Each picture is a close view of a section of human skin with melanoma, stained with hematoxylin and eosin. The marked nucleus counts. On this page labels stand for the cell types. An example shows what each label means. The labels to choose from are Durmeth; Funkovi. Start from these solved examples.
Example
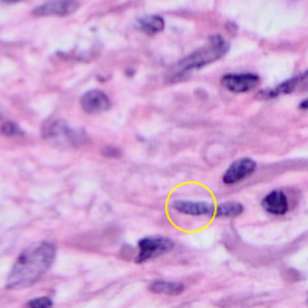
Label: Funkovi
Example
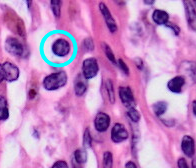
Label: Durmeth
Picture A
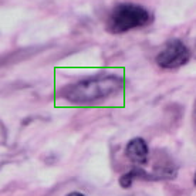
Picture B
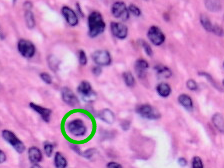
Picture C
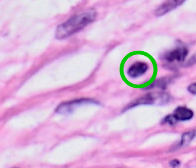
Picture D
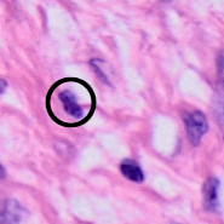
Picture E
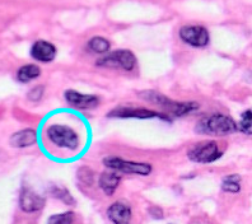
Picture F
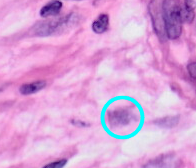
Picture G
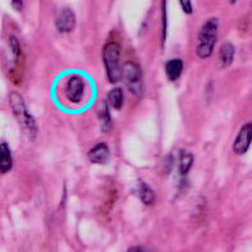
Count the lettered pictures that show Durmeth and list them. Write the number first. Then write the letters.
5: B, C, D, E, G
